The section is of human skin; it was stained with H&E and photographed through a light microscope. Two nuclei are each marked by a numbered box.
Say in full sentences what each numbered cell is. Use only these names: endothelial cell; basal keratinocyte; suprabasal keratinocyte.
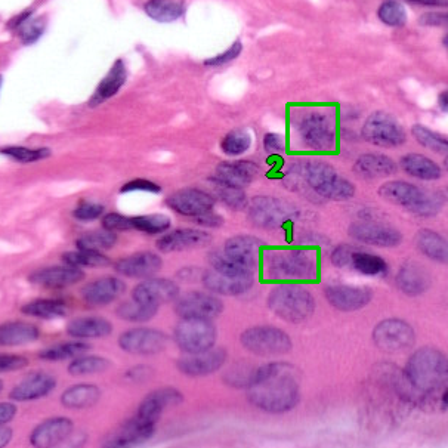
Cell 1 is a suprabasal keratinocyte and cell 2 is a basal keratinocyte.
